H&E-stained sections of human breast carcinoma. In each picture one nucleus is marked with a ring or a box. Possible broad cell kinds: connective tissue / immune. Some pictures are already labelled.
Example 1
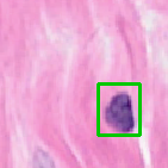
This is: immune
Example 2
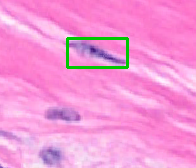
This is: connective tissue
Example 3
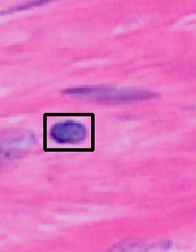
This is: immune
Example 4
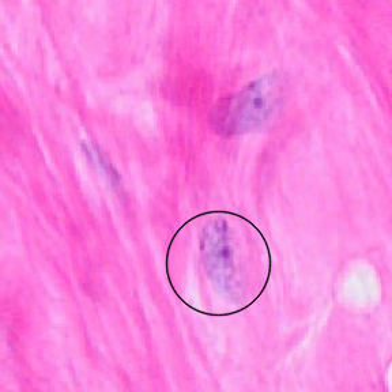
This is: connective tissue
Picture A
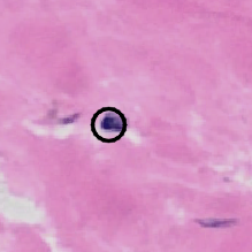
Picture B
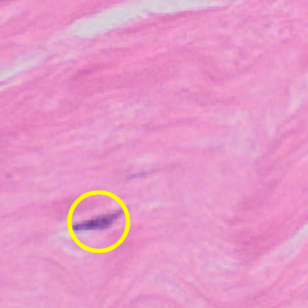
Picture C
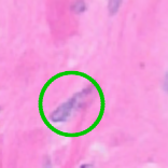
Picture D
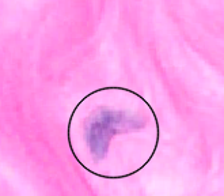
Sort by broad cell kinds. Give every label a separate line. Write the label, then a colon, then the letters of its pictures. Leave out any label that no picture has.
connective tissue: B, C, D
immune: A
